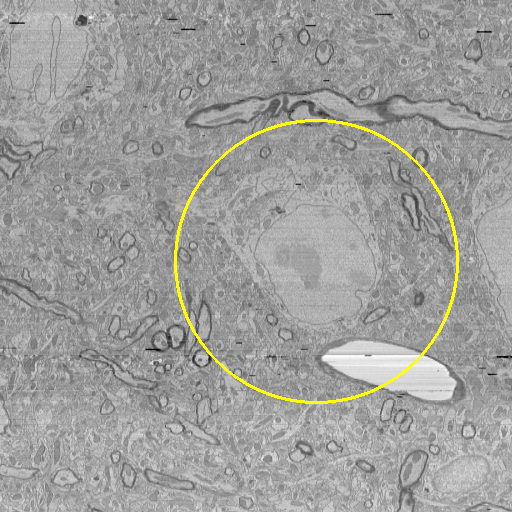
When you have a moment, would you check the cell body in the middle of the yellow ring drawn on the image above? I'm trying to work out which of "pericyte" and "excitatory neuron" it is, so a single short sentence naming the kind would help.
This cell body belongs to an excitatory neuron.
